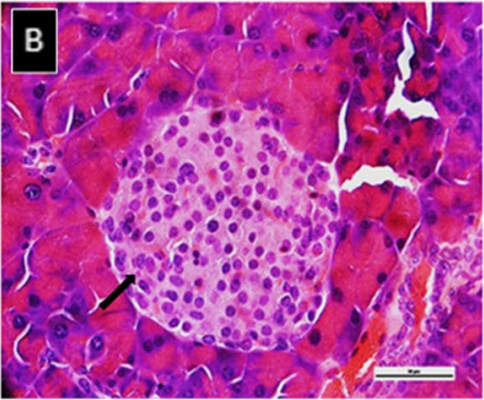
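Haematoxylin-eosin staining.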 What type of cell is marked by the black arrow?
Endocrine cells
